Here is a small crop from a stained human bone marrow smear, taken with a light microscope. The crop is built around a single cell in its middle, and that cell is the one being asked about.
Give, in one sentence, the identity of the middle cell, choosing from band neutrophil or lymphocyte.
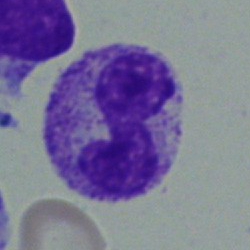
The central cell shown in this smear crop is a band neutrophil.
